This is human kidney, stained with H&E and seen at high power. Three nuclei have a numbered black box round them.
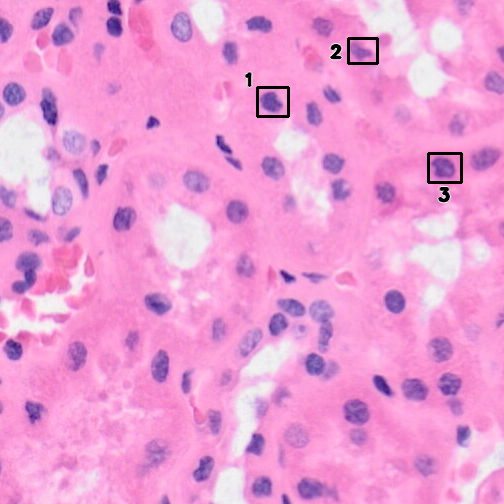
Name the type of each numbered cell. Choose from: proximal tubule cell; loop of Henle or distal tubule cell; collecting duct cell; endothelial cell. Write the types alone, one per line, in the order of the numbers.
loop of Henle or distal tubule cell
proximal tubule cell
proximal tubule cell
